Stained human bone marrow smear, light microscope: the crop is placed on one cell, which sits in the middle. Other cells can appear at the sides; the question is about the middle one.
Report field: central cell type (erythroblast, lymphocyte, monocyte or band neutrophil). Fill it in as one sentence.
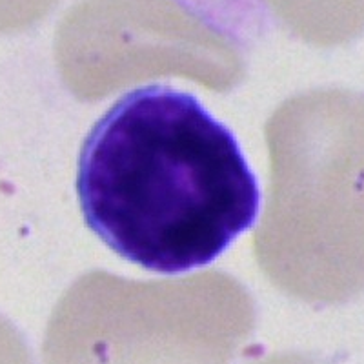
This particular crop is centered on a lymphocyte.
